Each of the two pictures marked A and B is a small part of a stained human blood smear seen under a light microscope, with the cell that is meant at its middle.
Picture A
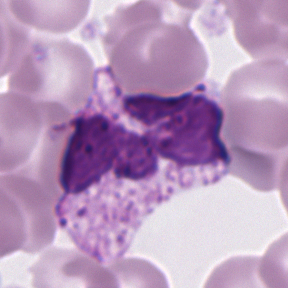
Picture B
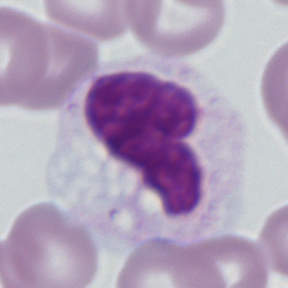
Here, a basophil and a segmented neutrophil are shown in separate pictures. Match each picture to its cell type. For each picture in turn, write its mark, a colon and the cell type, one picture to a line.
A: basophil
B: segmented neutrophil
